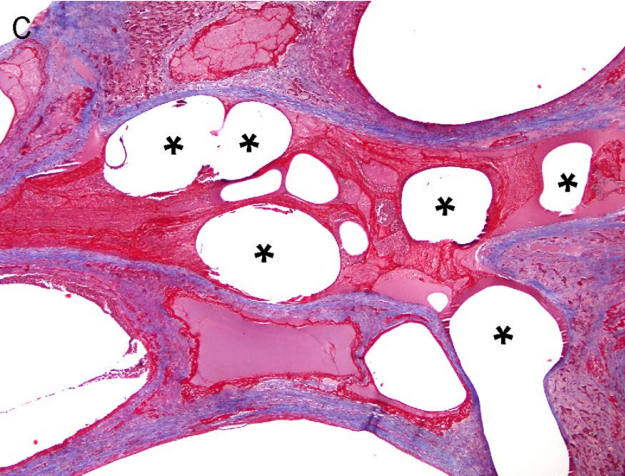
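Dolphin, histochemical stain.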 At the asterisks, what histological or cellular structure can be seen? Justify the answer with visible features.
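The asterisks lie in round, sharply bordered empty spaces.
Answer: cystic spaces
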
